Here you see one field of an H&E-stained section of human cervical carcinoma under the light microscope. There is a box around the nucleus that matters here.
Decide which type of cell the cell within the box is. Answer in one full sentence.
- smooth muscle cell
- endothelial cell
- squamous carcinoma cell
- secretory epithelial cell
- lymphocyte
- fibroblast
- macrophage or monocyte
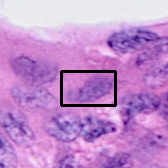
The cell type of the cell within the box is that of a squamous carcinoma cell.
